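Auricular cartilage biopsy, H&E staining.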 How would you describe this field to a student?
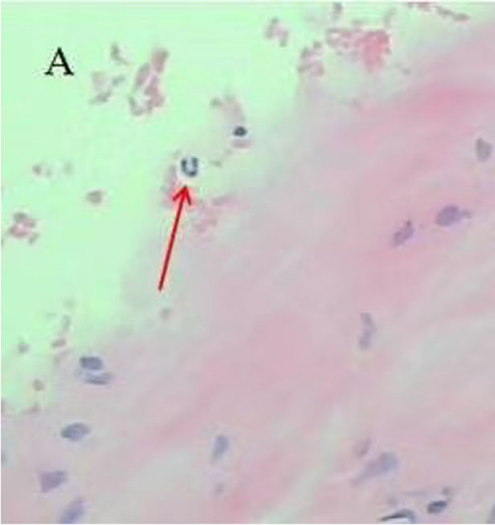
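This is a strip of dense, pink-staining fibrous tissue with scattered elongated and oval purple nuclei lying along the fibres. At its frayed upper-left edge the tissue gives way to a pale background holding loose pink fragments. Among these fragments lies a small round cell whose dark nucleus is bent and lobed, the look of a neutrophil.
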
